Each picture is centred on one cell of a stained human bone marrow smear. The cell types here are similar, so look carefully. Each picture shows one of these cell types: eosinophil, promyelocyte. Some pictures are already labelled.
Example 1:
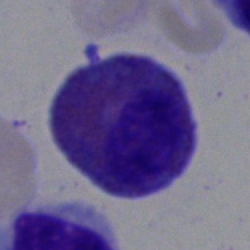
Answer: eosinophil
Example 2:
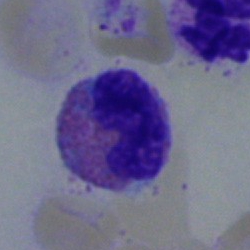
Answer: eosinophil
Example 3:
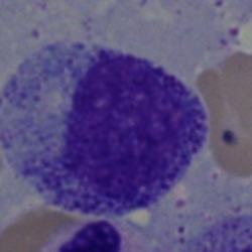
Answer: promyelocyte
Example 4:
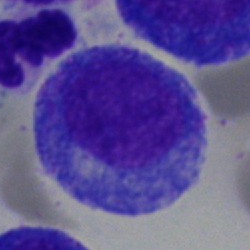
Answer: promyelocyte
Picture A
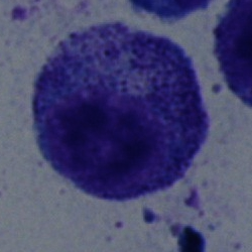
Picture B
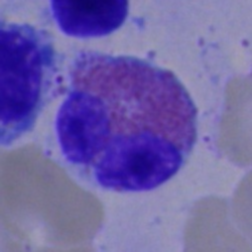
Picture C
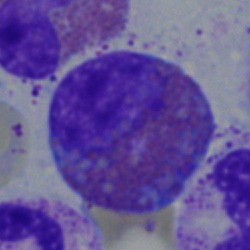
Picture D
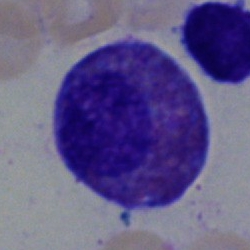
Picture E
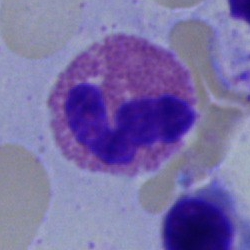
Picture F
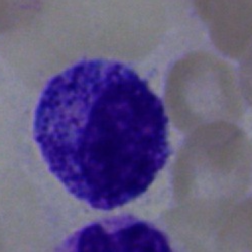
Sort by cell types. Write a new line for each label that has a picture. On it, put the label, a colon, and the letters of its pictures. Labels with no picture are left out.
eosinophil: B, C, D, E
promyelocyte: A, F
